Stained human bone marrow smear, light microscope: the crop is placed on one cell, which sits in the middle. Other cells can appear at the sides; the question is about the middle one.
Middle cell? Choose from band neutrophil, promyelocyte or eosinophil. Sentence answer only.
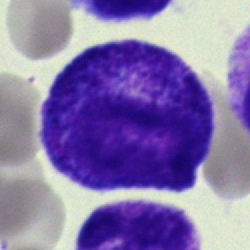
This crop is built around a promyelocyte at its centre.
